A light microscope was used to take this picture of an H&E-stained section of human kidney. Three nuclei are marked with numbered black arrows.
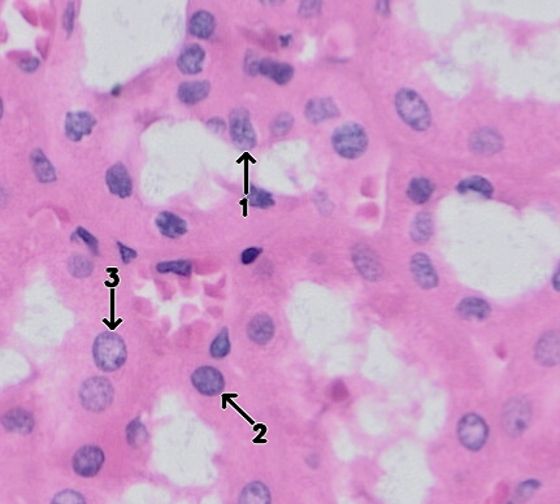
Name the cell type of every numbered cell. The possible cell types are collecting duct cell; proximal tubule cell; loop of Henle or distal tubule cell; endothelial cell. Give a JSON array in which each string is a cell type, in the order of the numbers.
["loop of Henle or distal tubule cell", "proximal tubule cell", "proximal tubule cell"]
